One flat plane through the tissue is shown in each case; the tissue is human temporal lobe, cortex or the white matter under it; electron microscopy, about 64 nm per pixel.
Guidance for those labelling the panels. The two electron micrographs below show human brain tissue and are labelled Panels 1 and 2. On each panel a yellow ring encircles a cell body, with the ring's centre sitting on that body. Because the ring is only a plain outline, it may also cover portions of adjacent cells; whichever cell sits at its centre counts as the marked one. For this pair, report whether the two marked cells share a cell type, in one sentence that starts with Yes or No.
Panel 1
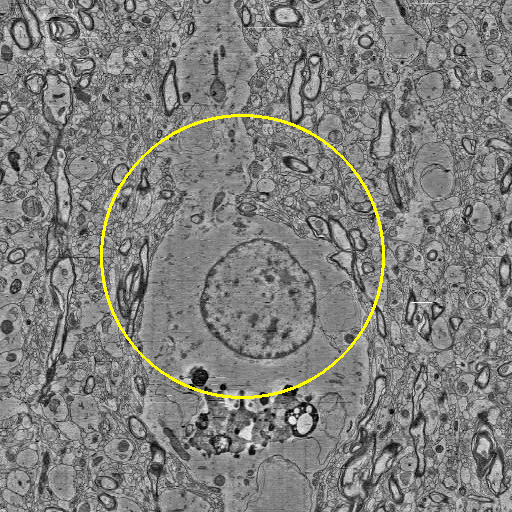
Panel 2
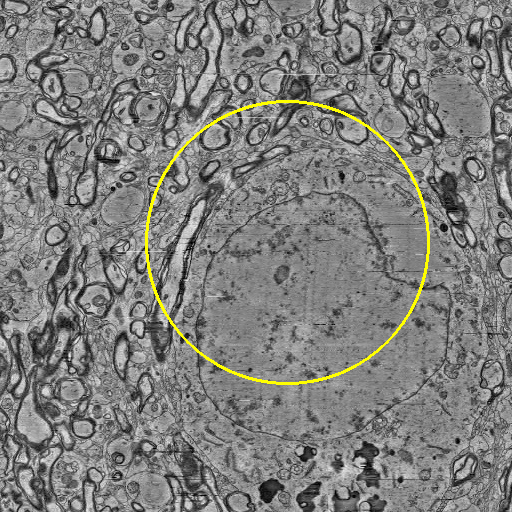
No, in Panel 1 and Panel 2 the marked cells at the ring centres are of two types.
